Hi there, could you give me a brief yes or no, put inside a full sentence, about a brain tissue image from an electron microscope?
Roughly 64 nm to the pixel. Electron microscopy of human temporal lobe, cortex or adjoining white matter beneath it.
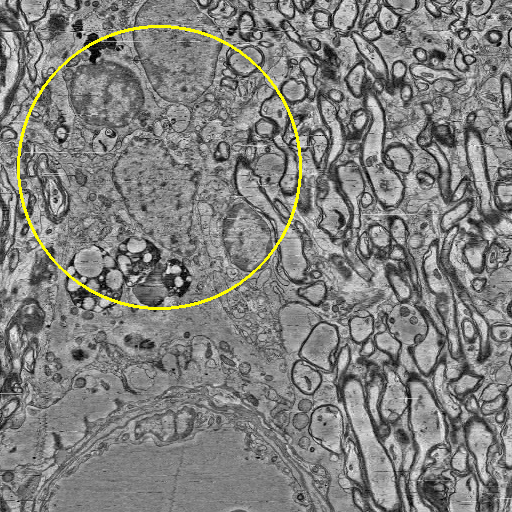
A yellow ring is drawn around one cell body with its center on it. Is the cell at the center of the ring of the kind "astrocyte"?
Yes, the cell found at the center of the yellow ring is of that kind.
